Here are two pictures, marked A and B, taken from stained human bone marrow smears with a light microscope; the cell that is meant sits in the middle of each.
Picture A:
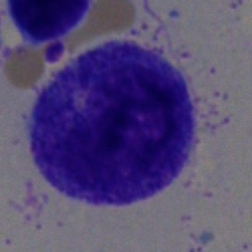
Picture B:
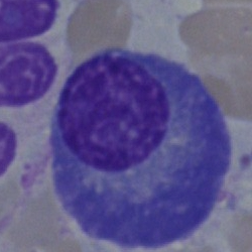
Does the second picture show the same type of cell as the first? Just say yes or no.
no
